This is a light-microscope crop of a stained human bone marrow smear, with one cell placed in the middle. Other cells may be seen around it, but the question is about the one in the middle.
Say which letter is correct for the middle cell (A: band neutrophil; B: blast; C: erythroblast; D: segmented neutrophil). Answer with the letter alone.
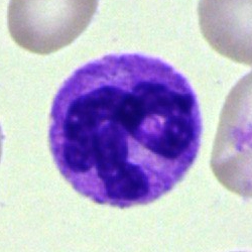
D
